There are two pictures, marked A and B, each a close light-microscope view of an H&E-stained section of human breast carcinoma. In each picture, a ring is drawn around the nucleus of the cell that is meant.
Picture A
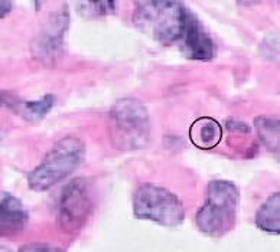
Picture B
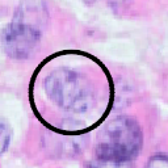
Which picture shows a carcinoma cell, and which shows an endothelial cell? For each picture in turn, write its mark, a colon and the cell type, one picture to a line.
A: endothelial cell
B: carcinoma cell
